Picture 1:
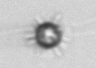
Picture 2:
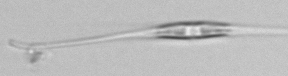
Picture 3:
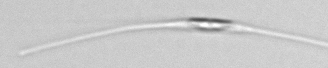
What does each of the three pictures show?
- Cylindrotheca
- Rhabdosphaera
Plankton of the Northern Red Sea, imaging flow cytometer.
1. Rhabdosphaera
2. Cylindrotheca
3. Cylindrotheca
